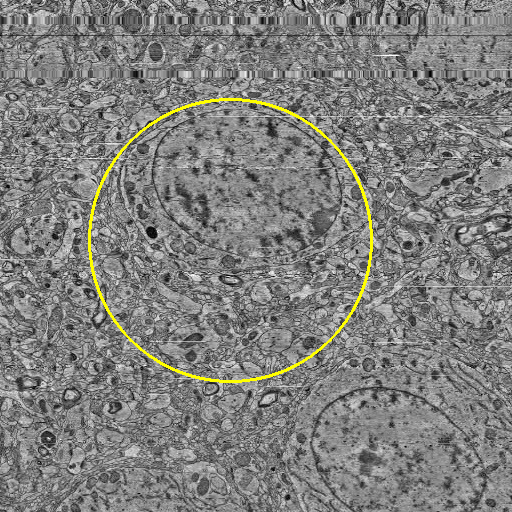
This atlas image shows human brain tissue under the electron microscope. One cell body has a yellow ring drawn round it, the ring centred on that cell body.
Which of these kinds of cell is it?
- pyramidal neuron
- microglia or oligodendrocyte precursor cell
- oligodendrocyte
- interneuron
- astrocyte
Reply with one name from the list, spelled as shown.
pyramidal neuron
